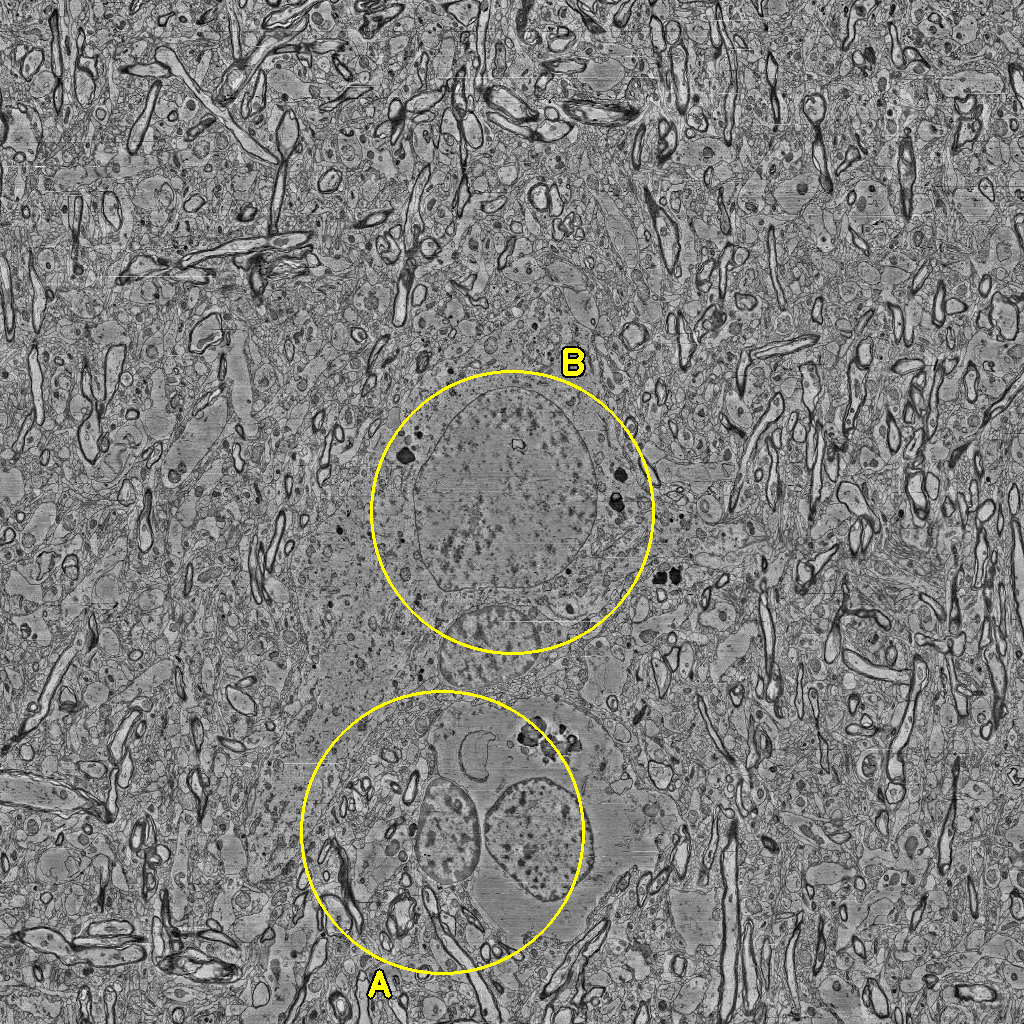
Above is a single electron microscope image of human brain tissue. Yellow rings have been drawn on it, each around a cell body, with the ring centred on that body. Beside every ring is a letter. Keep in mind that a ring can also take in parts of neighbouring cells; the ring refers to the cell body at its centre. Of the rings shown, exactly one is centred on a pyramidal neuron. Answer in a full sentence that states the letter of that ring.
The cell at the centre of ring B is the one asked for.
